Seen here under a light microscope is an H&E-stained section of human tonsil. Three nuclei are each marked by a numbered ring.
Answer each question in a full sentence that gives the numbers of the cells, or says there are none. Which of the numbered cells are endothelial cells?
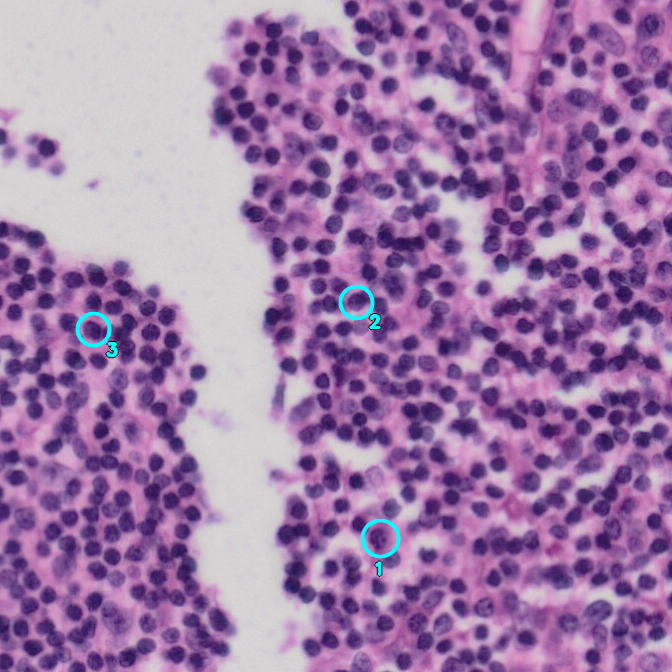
The tally for endothelial cells among the numbered cells is zero.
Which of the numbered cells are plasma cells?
The nucleus numbered 1 is the only one that belongs to a plasma cell.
